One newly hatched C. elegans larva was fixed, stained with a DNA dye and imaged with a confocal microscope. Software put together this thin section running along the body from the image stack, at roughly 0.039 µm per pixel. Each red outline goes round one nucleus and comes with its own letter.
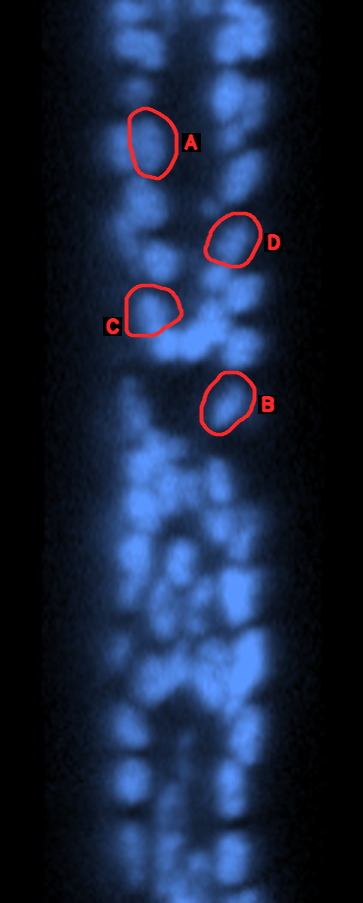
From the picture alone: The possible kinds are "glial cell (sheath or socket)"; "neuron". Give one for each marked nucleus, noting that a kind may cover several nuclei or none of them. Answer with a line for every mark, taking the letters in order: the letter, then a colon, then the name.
A: neuron
B: glial cell (sheath or socket)
C: neuron
D: neuron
